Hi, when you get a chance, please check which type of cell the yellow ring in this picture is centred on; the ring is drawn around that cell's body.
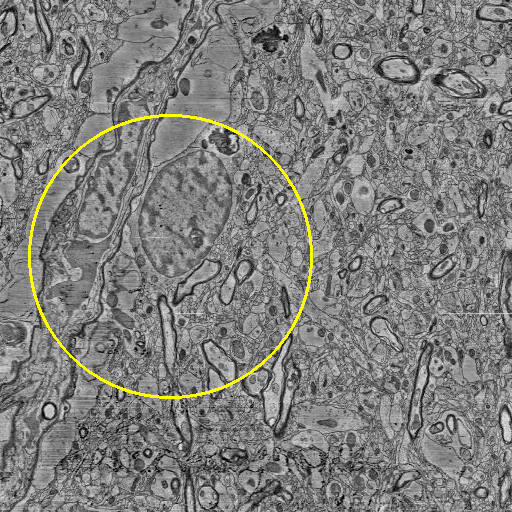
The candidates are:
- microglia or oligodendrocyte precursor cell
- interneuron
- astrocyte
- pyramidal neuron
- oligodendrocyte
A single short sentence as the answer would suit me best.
The ring is drawn around the body of an oligodendrocyte.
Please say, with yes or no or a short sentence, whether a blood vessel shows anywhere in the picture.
Yes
